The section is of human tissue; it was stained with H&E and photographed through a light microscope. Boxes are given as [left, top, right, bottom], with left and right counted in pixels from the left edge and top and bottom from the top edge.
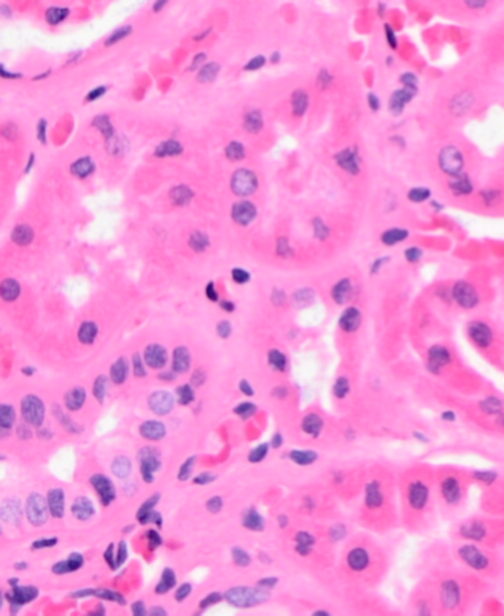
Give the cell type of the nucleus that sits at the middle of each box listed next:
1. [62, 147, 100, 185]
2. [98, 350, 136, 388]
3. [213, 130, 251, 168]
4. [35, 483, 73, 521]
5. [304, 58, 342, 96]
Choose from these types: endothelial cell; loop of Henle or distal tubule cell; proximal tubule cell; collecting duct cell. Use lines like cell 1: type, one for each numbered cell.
cell 1: proximal tubule cell
cell 2: collecting duct cell
cell 3: proximal tubule cell
cell 4: collecting duct cell
cell 5: proximal tubule cell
